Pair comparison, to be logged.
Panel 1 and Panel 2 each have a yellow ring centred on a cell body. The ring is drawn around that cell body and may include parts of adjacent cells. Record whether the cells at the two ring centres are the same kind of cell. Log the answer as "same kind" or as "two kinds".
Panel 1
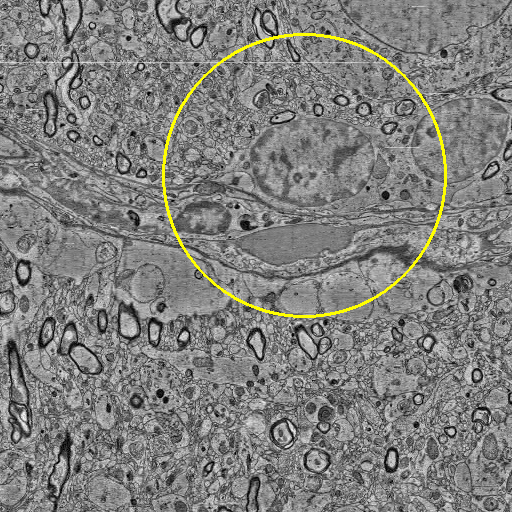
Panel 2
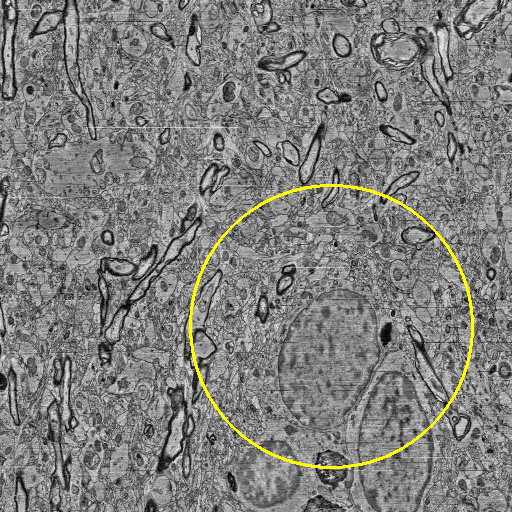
same kind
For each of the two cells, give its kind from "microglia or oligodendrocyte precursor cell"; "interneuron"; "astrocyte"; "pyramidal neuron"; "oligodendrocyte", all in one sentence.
In the first picture and in the second, the ring is centred on an oligodendrocyte.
